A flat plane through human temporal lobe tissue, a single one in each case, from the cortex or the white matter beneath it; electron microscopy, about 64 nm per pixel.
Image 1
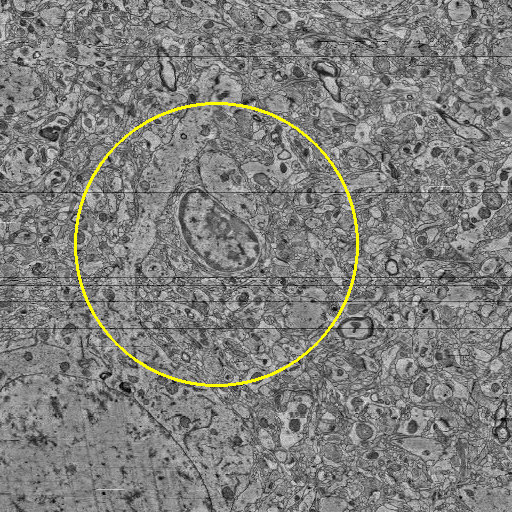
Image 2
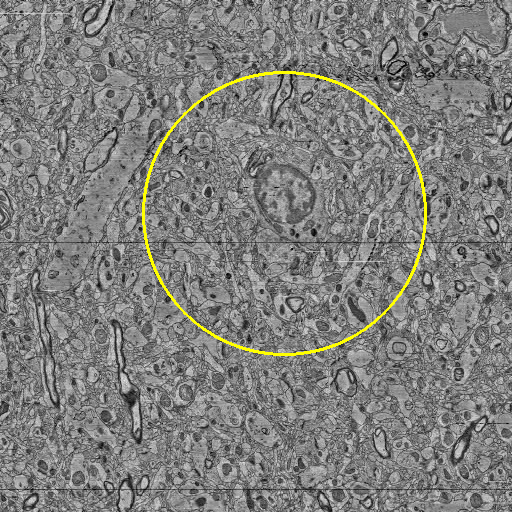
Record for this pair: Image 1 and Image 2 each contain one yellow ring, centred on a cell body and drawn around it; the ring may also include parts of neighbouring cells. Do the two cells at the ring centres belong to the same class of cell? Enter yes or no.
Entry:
no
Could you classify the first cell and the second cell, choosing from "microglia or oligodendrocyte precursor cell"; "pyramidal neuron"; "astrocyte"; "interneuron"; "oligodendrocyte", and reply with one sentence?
The second cell is an oligodendrocyte, while the first is a microglial cell or oligodendrocyte precursor cell.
